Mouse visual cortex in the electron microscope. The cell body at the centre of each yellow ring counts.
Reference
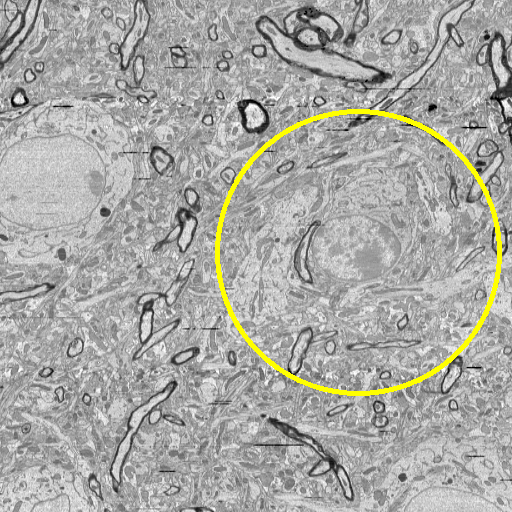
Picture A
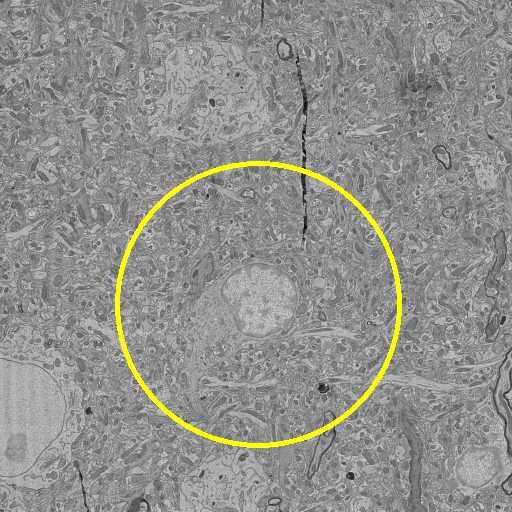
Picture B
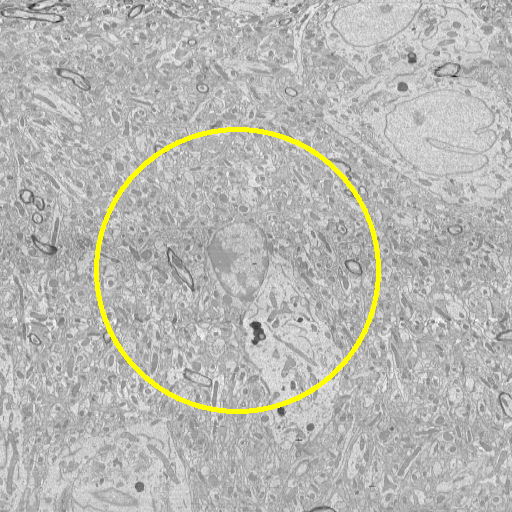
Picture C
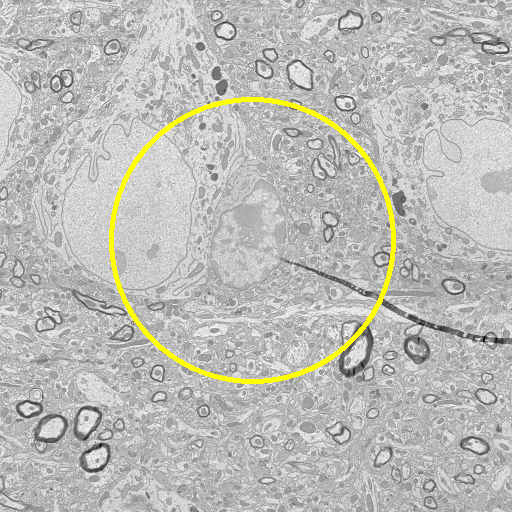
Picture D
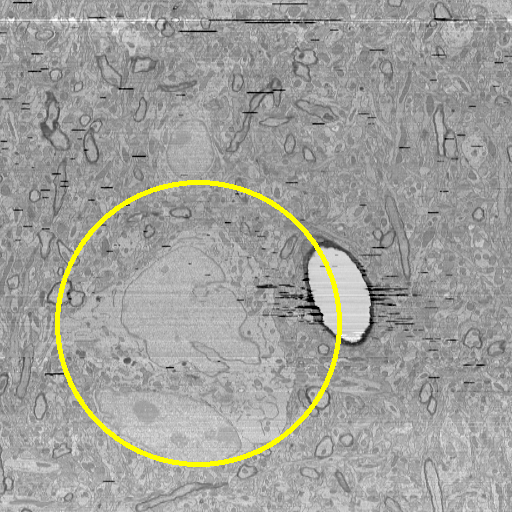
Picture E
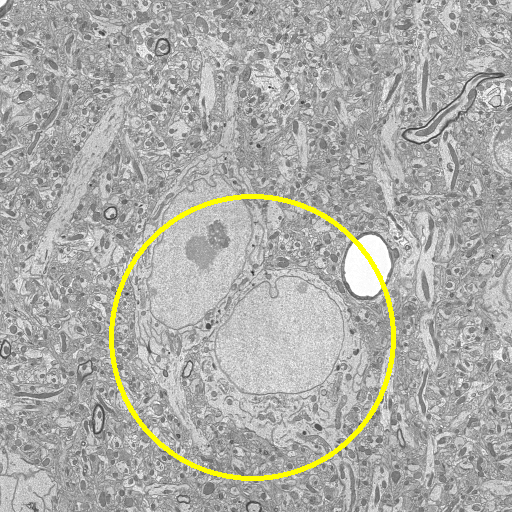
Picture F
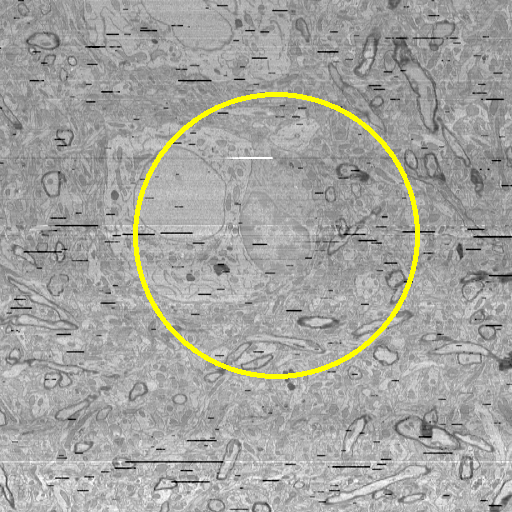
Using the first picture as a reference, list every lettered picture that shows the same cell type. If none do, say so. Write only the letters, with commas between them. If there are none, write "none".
A, B, C, F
